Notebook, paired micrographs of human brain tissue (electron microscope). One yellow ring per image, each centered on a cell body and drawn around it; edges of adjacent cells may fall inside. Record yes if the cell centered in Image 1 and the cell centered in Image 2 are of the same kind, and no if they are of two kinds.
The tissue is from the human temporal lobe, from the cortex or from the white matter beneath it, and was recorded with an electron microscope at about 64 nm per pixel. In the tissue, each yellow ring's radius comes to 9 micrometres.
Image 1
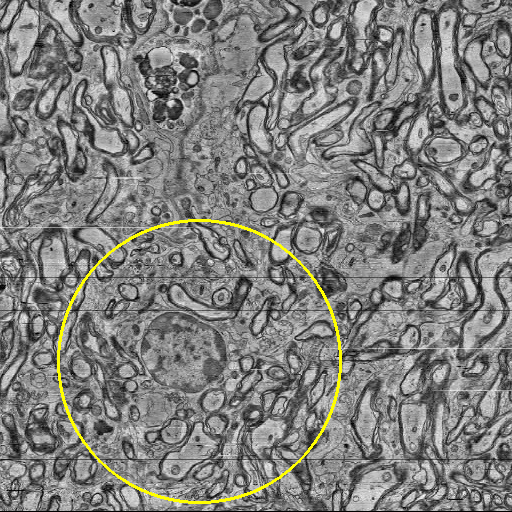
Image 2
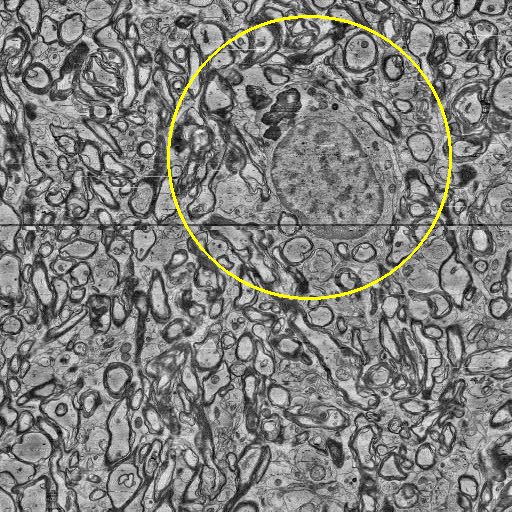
no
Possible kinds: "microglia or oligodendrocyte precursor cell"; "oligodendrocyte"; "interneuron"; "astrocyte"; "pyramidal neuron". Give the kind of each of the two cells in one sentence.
The cell in the second picture is an oligodendrocyte, and that in the first is a microglial cell or oligodendrocyte precursor cell.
